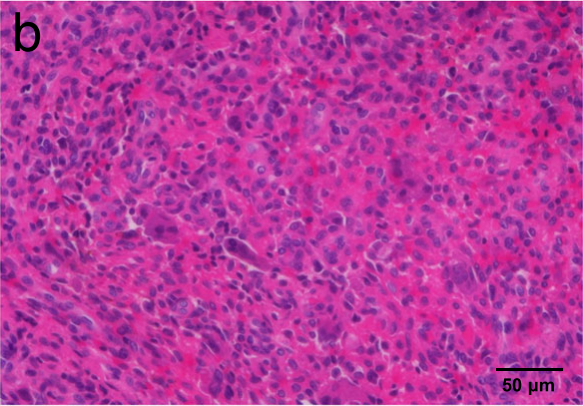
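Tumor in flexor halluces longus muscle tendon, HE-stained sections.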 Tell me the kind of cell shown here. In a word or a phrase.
Oval-shaped mesenchymal cells.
